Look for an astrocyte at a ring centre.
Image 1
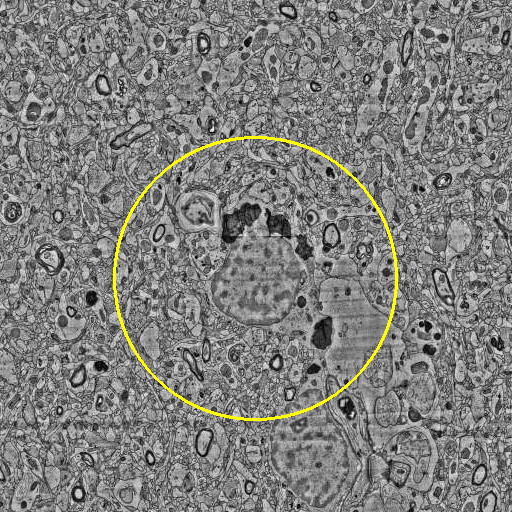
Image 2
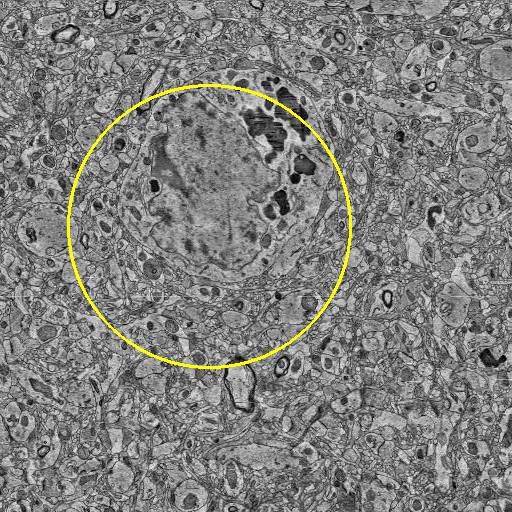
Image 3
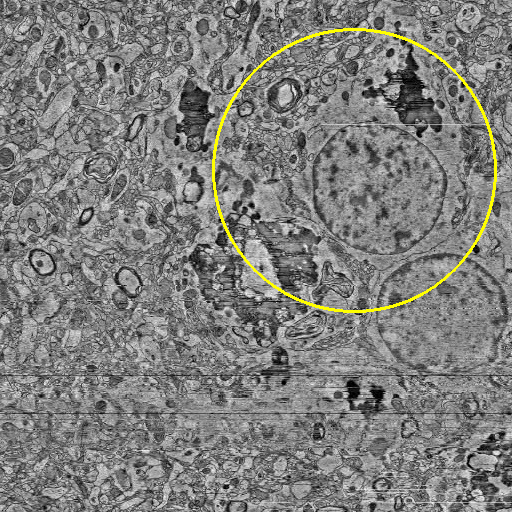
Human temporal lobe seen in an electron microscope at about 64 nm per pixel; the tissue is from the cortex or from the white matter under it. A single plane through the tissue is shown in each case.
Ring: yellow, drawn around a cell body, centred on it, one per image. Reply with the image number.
3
